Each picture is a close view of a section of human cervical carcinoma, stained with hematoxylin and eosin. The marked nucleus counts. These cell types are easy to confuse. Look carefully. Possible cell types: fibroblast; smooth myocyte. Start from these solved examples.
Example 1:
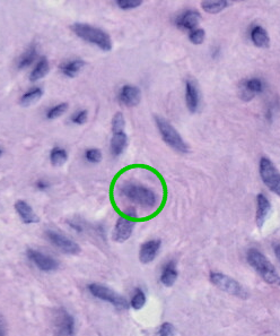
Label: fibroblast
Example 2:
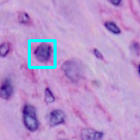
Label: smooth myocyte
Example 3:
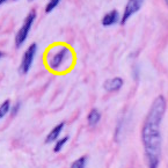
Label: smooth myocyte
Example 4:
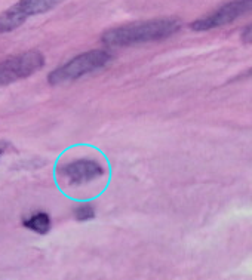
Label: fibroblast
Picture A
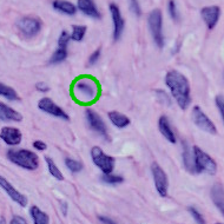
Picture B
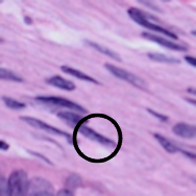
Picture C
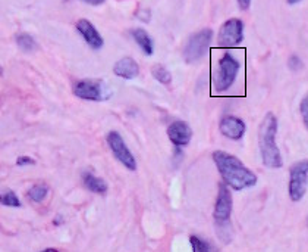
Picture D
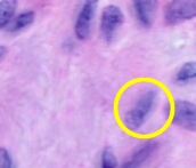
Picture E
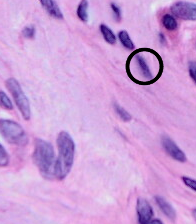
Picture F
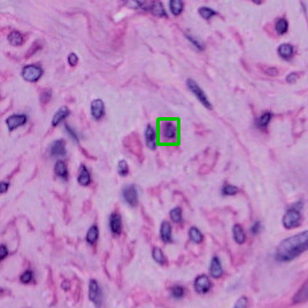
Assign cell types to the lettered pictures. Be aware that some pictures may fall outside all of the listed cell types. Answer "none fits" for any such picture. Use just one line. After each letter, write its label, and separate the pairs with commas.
A fibroblast, B fibroblast, C fibroblast, D fibroblast, E fibroblast, F smooth myocyte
